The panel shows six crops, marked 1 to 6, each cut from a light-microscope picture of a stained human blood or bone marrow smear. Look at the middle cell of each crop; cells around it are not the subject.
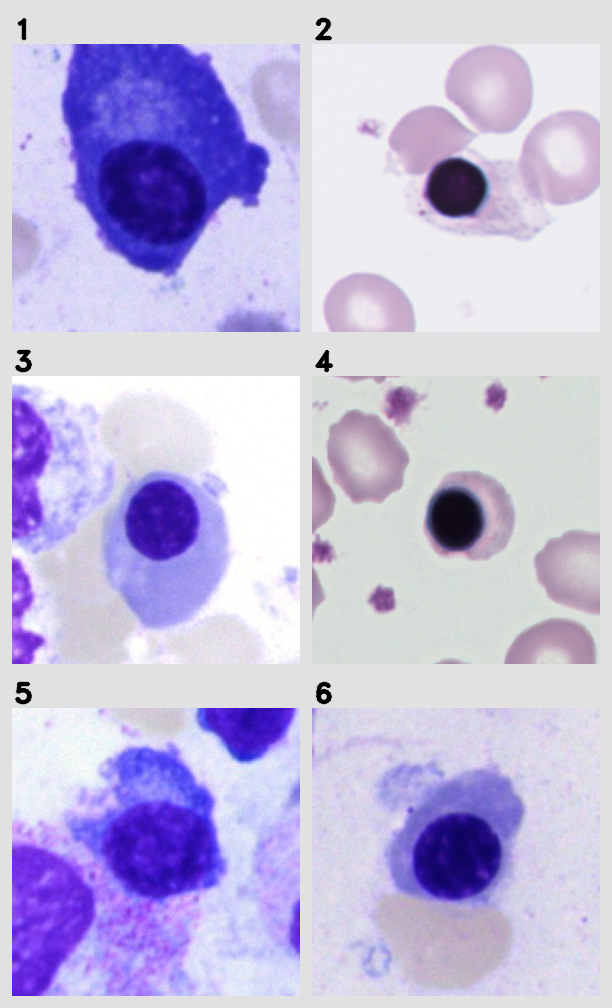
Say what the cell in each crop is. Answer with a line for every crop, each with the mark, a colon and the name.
1: plasma cell
2: normoblast
3: normoblast
4: normoblast
5: plasma cell
6: normoblast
